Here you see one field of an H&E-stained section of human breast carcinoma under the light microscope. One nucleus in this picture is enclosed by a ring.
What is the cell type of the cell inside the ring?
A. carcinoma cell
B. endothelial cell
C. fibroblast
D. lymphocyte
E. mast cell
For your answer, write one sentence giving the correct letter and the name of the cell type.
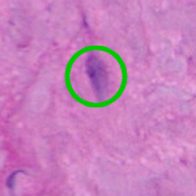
The correct option is C, as the cell inside the ring is a fibroblast.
